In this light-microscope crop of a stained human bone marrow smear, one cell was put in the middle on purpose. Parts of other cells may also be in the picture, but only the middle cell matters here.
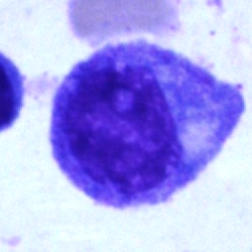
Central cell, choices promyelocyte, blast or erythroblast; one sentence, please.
The central element of this crop is a cell, namely a promyelocyte.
